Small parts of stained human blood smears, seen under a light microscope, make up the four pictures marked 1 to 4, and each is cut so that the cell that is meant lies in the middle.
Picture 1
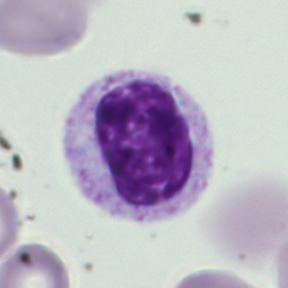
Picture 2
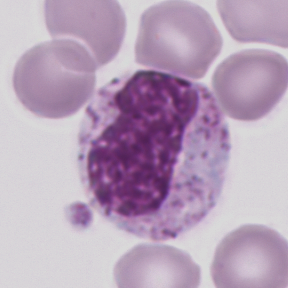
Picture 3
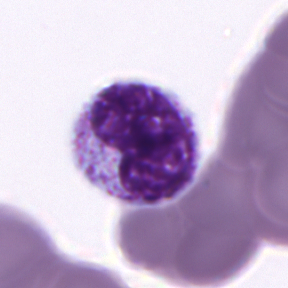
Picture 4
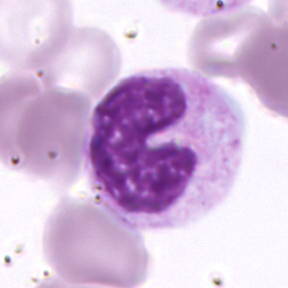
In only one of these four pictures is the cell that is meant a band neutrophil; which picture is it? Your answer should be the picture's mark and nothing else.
4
